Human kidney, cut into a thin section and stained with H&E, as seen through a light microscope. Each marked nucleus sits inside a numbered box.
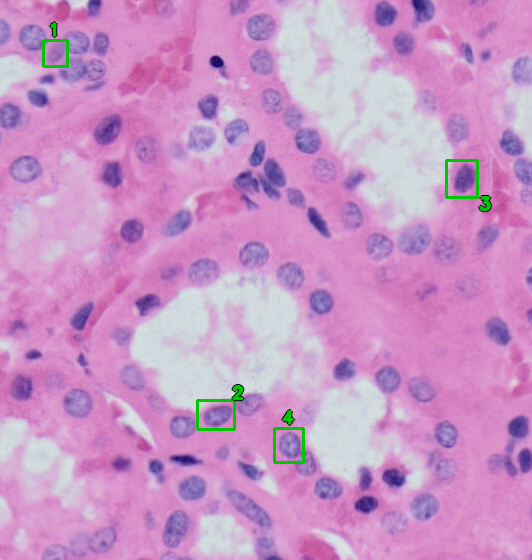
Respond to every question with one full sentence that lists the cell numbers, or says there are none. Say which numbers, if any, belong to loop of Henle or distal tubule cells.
Into the category of loop of Henle or distal tubule cells fall the cells numbered 2, 3 and 4.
